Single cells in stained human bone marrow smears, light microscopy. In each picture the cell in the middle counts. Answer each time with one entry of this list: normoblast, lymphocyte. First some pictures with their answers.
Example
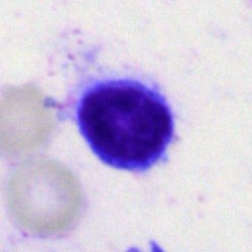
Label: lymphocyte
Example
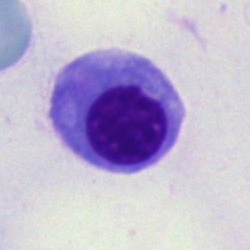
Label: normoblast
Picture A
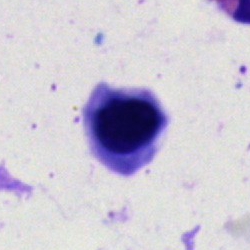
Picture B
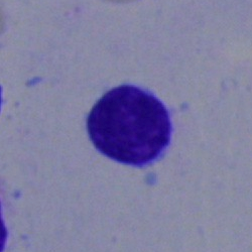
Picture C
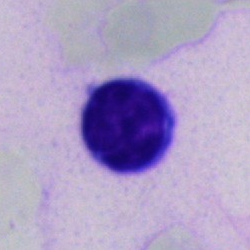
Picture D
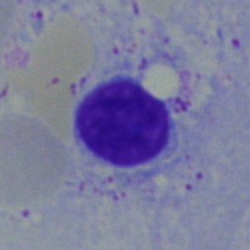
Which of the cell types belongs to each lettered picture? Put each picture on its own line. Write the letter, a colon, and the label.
A: normoblast
B: lymphocyte
C: lymphocyte
D: lymphocyte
